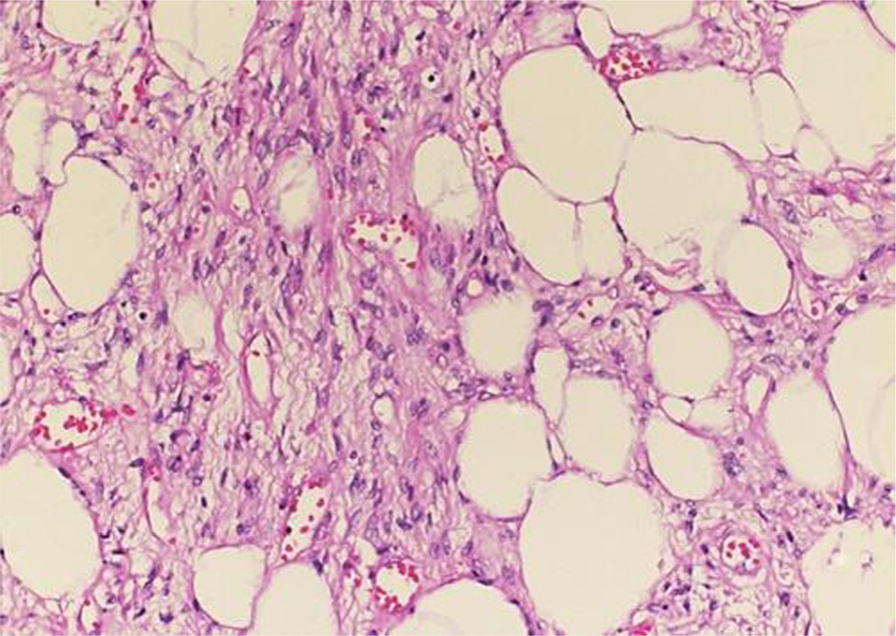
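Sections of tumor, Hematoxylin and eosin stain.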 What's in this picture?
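The adipocytes are large, clear, round to polygonal cells of varying size, each bounded by a thin pink membrane, with small flattened nuclei pressed to the rim. Through the centre runs a band of pale pink, loose fibrillary stroma holding many spindle-shaped cells with elongated dark purple nuclei. Numerous small thin-walled vessels packed with red blood cells lie within the septum and between the fat cells.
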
